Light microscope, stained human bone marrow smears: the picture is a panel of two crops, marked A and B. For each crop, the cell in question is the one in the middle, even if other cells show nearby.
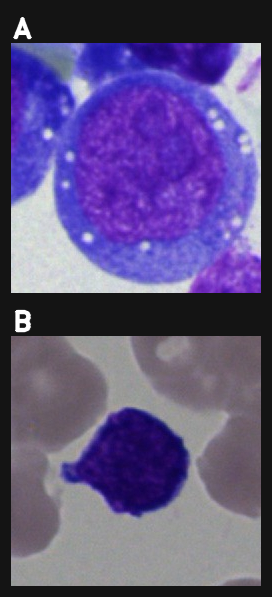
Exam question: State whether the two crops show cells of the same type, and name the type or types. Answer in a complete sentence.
Yes, what both crops show at their centres are blasts.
